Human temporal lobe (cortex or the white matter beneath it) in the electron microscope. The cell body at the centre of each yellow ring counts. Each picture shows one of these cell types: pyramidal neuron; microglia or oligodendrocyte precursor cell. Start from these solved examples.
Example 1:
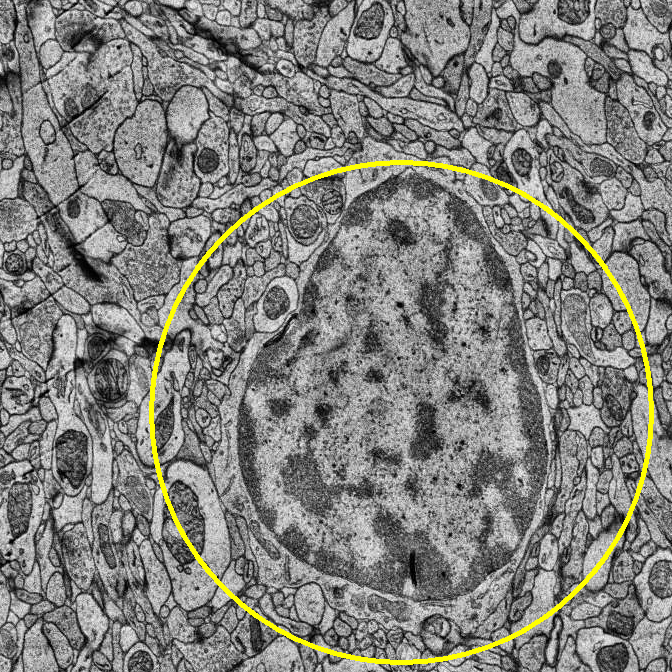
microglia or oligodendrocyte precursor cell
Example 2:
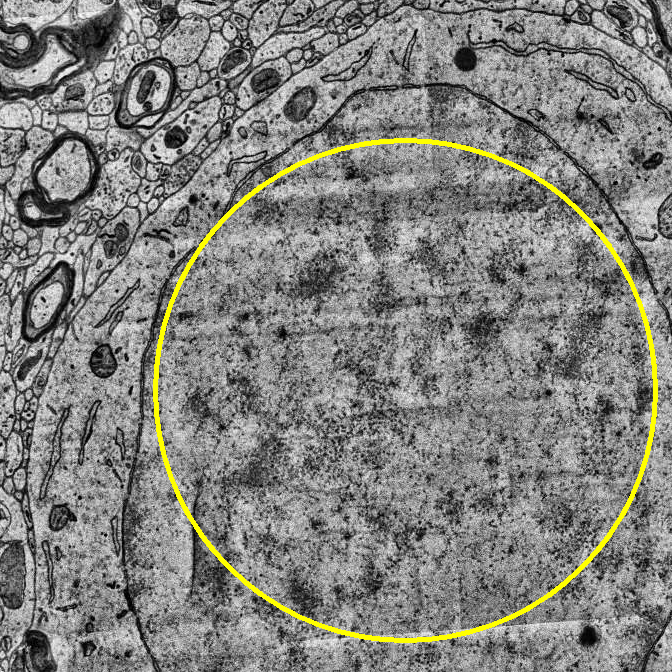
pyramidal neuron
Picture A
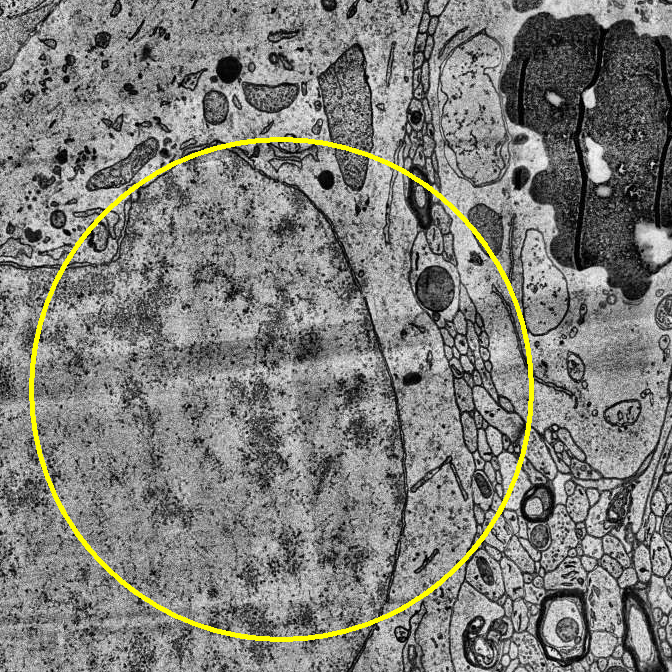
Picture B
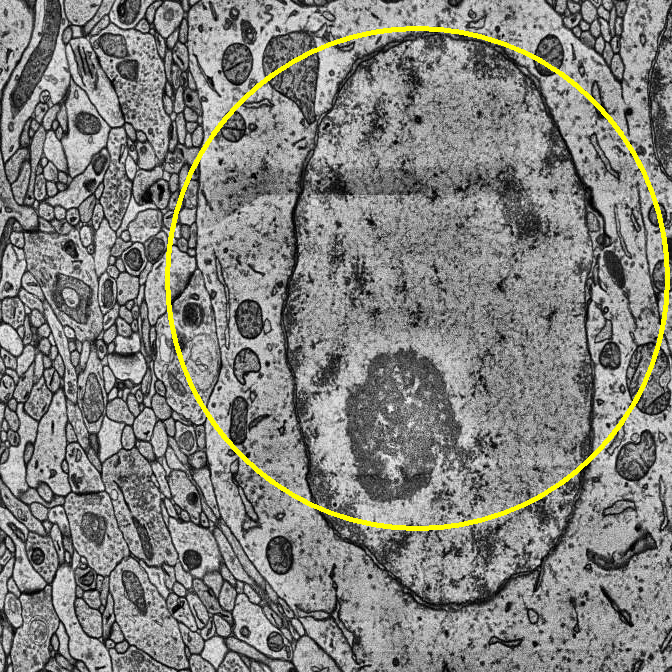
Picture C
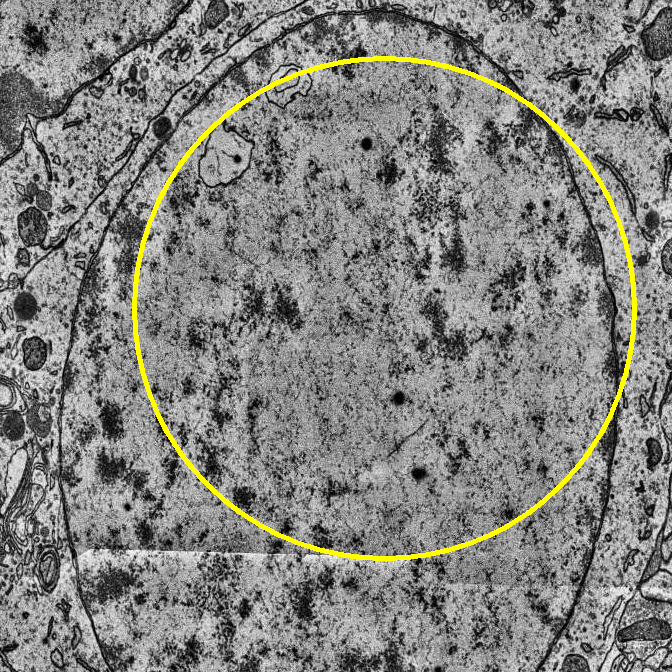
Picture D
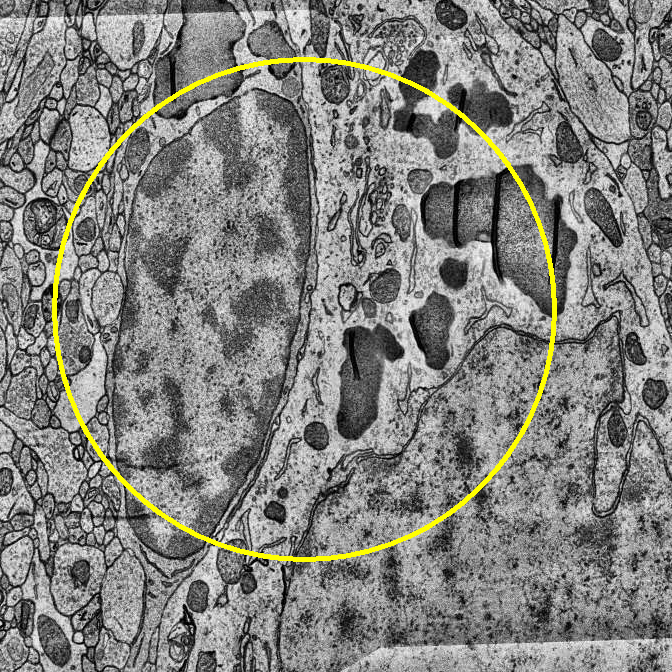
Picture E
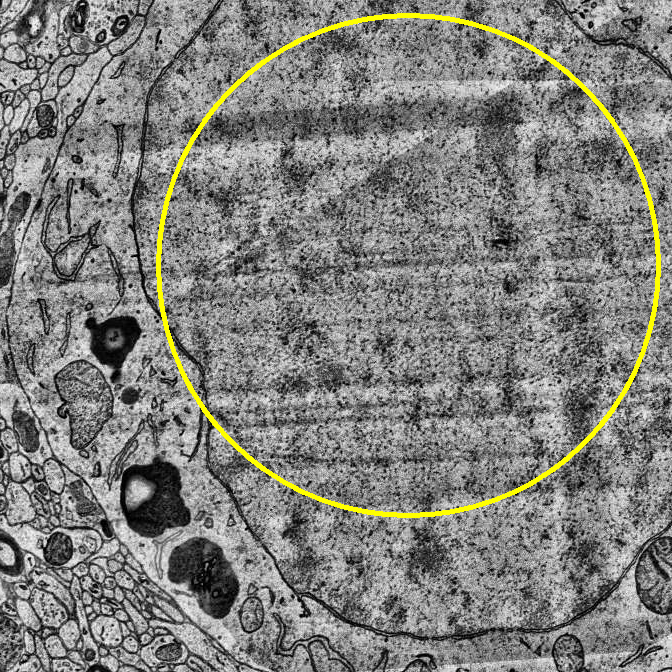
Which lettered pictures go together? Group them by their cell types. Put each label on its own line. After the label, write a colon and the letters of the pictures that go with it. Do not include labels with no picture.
pyramidal neuron: A, B, C, E
microglia or oligodendrocyte precursor cell: D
